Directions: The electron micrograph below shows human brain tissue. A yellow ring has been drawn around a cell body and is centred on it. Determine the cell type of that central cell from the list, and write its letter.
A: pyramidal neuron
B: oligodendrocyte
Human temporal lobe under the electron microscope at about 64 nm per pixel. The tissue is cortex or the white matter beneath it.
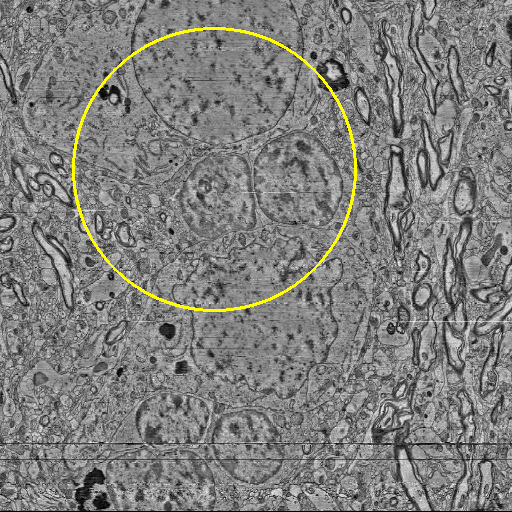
B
